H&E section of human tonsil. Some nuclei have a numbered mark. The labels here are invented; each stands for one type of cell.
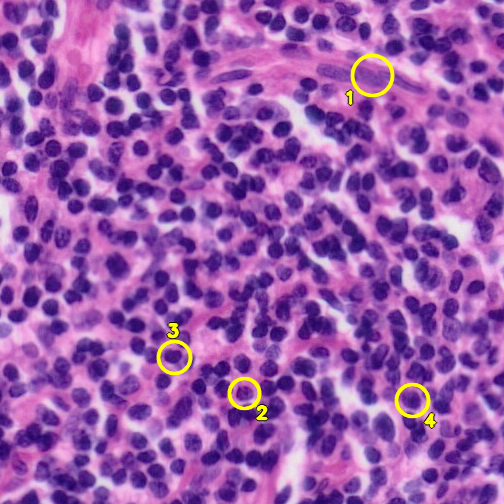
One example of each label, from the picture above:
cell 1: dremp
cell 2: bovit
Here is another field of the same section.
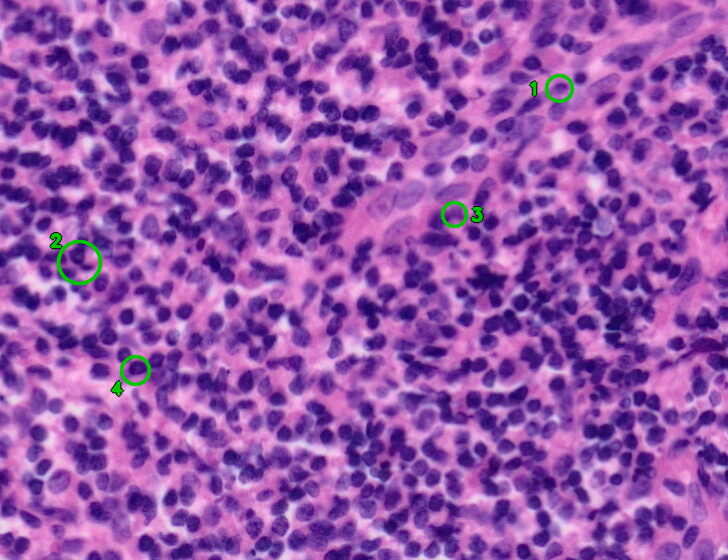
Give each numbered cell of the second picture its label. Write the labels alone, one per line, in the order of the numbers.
dremp
bovit
dremp
bovit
